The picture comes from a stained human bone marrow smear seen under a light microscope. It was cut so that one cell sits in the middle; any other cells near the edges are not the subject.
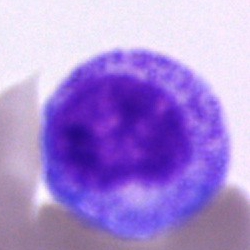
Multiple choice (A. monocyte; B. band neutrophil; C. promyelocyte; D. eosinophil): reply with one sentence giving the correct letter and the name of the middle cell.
In the middle of the crop is a promyelocyte; option C is therefore correct.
